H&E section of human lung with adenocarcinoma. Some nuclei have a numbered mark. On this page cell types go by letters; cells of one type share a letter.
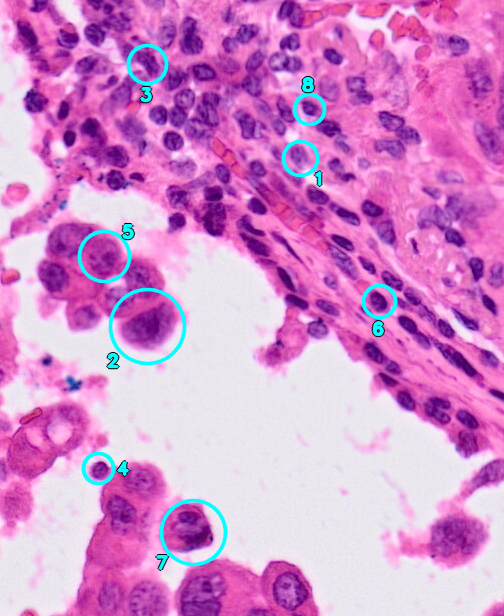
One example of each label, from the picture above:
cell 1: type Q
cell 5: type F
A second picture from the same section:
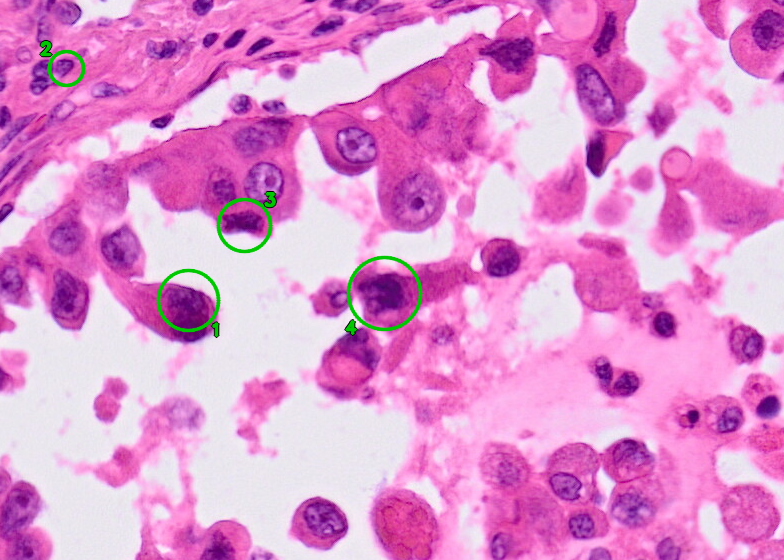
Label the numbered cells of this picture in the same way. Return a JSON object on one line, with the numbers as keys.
{"1": "type F", "2": "type Q", "3": "type F", "4": "type F"}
